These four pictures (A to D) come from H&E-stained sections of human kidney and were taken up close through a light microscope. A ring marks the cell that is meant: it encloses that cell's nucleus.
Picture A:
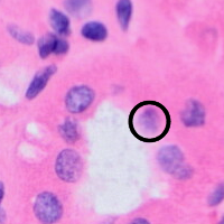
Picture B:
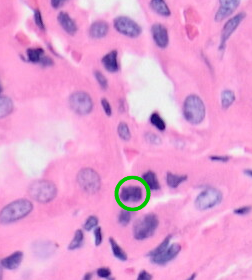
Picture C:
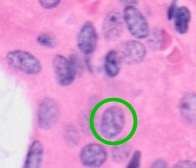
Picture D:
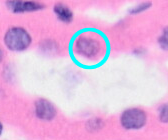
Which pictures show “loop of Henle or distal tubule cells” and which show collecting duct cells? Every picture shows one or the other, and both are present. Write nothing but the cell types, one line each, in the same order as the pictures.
loop of Henle or distal tubule cell
collecting duct cell
collecting duct cell
loop of Henle or distal tubule cell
